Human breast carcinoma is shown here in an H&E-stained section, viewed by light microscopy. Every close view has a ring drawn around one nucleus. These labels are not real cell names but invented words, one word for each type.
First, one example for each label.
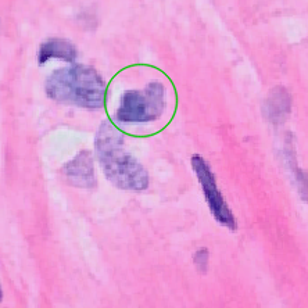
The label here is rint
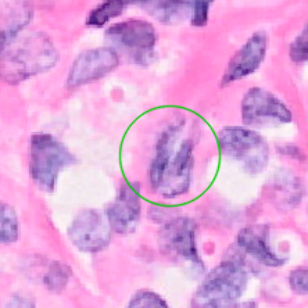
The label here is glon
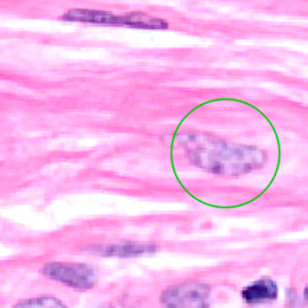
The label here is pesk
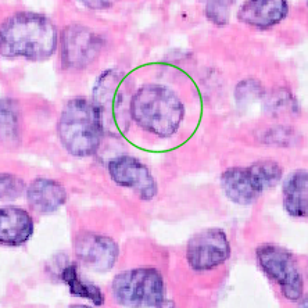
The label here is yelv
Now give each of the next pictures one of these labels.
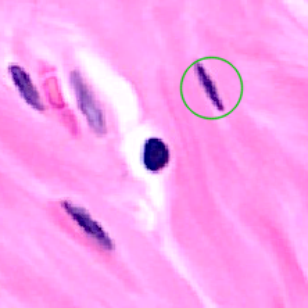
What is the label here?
pesk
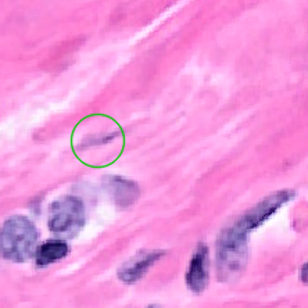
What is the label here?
pesk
